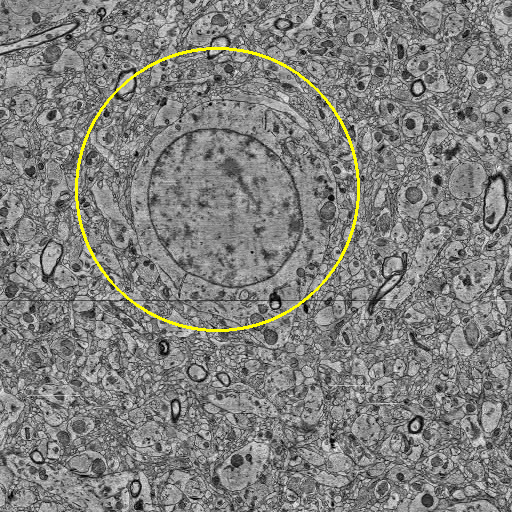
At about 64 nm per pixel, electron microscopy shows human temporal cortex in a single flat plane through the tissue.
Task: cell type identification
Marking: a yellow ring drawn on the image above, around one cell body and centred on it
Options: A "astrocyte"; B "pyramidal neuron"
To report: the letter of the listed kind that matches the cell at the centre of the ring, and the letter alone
B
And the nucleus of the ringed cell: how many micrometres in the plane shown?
The ringed cell's nucleus is about 10 micrometres across in this plane.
